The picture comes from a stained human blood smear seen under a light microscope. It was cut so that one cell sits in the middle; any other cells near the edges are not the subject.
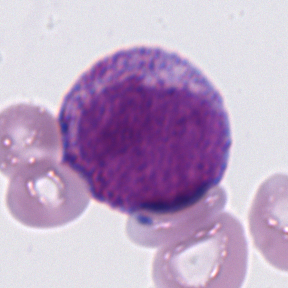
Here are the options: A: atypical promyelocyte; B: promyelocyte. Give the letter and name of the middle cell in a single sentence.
Well, the cell in the middle is a promyelocyte, making option B right.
